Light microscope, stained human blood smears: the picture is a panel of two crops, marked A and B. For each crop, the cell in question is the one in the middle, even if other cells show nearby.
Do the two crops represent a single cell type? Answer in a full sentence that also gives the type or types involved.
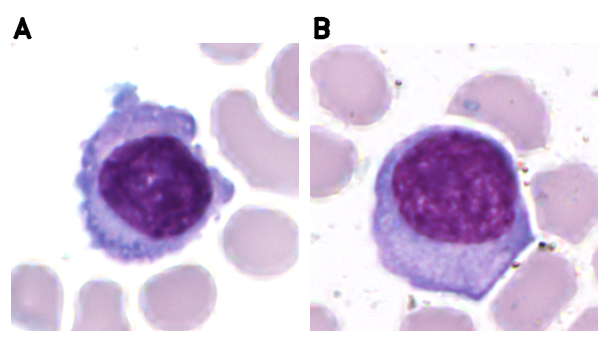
Yes, the two crops show plasma cells, both of them.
